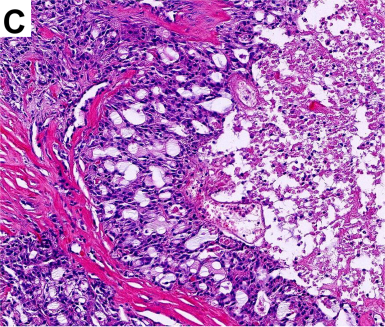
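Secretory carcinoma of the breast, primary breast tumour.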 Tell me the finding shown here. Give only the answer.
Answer: focal necrosis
